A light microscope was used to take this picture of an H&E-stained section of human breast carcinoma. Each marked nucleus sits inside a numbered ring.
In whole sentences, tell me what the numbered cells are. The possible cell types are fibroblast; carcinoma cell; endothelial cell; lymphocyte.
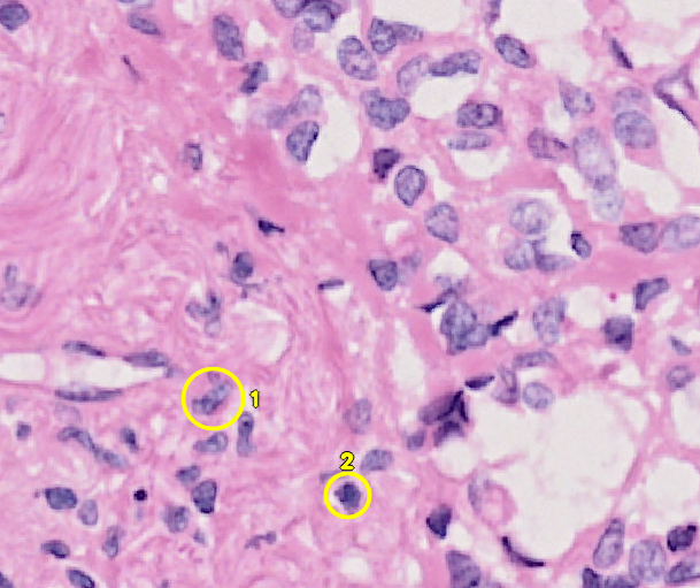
Cell 1 is an endothelial cell. Cell 2 is a lymphocyte.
